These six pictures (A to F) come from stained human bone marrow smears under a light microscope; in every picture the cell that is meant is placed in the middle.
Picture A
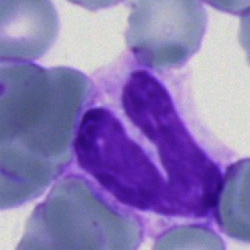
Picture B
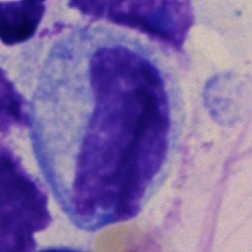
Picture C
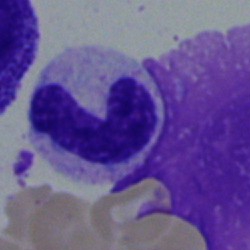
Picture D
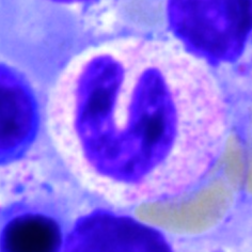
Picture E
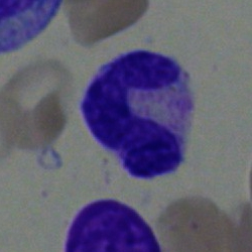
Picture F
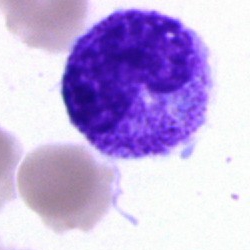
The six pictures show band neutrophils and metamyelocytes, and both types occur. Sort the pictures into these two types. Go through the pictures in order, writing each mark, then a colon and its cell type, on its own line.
A: band neutrophil
B: metamyelocyte
C: band neutrophil
D: band neutrophil
E: band neutrophil
F: metamyelocyte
